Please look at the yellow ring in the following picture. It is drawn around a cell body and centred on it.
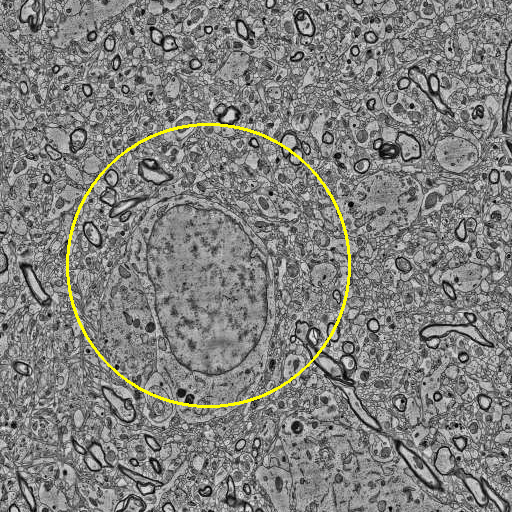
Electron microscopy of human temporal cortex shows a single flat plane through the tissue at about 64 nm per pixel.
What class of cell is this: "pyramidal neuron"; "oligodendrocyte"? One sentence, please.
The ring surrounds the cell body of a pyramidal neuron.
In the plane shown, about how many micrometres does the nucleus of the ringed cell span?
In this plane, roughly 11 by 8 micrometres.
